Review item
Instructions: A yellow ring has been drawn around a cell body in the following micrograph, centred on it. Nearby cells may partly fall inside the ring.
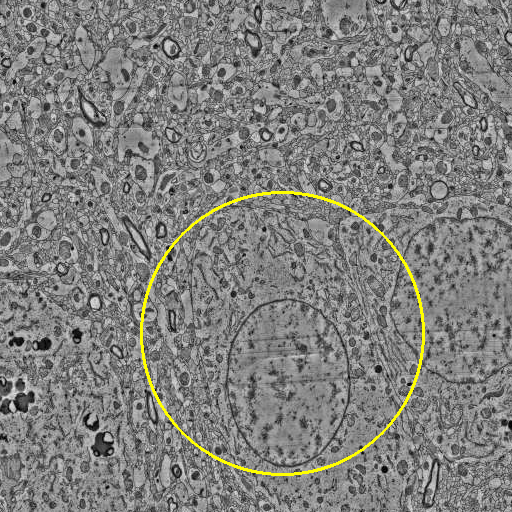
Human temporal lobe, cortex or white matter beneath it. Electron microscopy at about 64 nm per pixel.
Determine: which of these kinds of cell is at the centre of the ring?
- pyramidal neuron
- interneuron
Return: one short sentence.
The cell body in the middle of the ring is that of a pyramidal neuron.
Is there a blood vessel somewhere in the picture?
No, there is none.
